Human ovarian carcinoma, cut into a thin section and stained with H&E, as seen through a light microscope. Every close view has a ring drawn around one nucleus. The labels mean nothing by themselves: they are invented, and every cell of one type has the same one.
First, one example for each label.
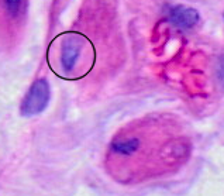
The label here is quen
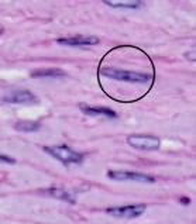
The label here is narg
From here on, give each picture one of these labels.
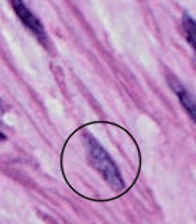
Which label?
narg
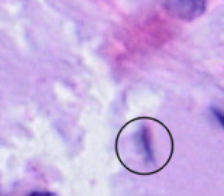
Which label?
narg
